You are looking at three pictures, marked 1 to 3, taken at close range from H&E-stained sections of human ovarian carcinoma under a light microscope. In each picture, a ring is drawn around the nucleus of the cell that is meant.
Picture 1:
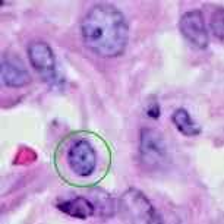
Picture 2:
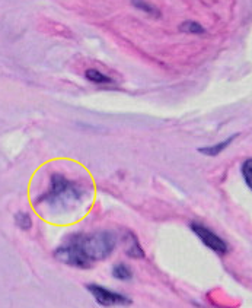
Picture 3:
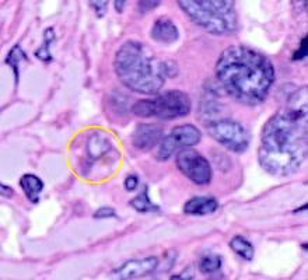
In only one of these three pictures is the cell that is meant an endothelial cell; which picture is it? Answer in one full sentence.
Picture 2 is the one that shows the endothelial cell.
